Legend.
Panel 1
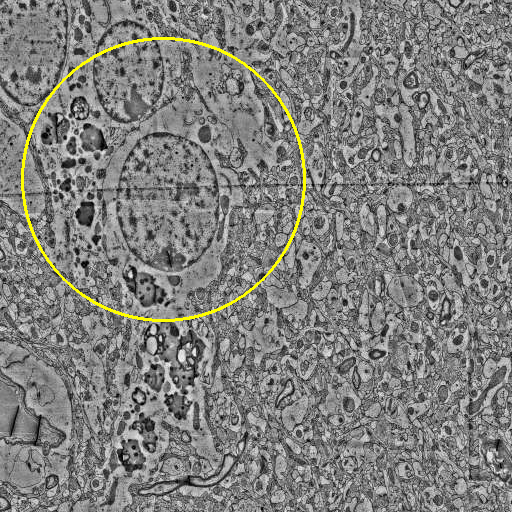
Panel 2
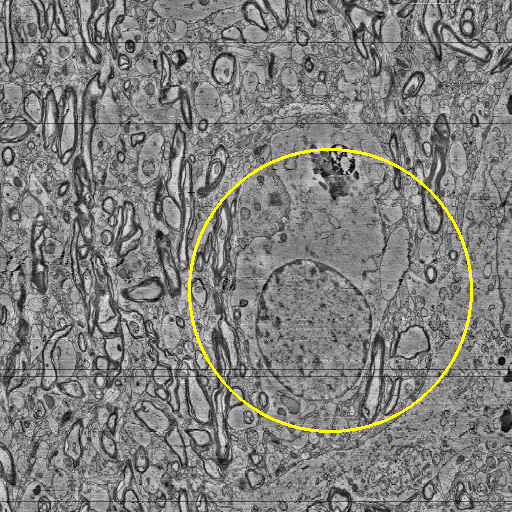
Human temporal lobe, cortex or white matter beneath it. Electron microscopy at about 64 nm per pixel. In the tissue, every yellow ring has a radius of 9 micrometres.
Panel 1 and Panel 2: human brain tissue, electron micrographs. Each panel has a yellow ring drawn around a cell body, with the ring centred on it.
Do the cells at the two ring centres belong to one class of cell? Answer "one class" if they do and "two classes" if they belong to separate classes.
one class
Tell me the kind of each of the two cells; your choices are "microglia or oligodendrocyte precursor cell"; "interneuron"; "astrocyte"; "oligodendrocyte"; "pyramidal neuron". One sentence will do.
The second cell is an astrocyte, just as the first is.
